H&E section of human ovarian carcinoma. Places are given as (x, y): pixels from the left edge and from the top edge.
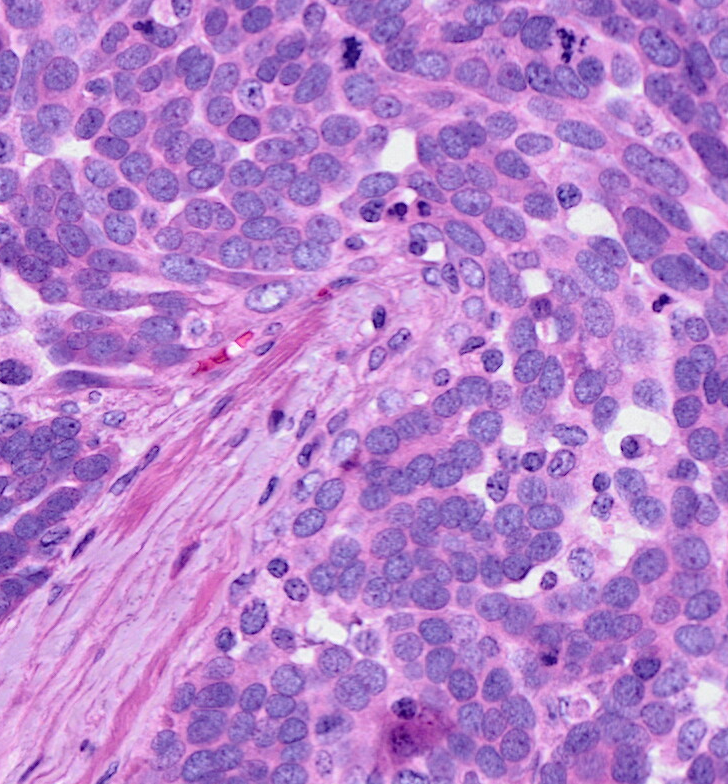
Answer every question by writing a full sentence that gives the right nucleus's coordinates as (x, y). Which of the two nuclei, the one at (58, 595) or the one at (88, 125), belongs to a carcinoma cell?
The nucleus that sits at (88, 125) is the nucleus of a carcinoma cell.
